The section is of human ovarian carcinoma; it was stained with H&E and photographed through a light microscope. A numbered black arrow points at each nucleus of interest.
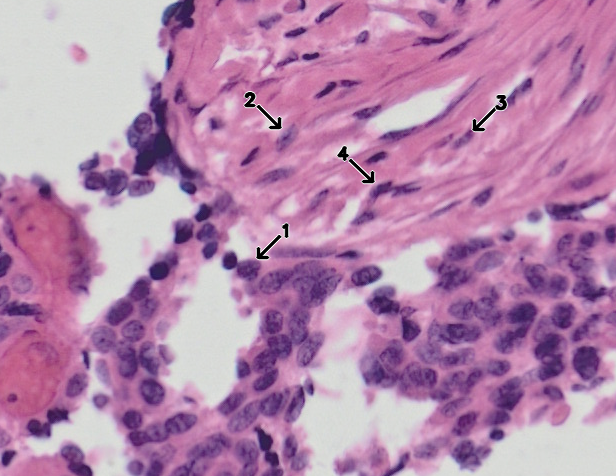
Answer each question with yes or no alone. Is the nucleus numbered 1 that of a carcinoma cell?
yes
